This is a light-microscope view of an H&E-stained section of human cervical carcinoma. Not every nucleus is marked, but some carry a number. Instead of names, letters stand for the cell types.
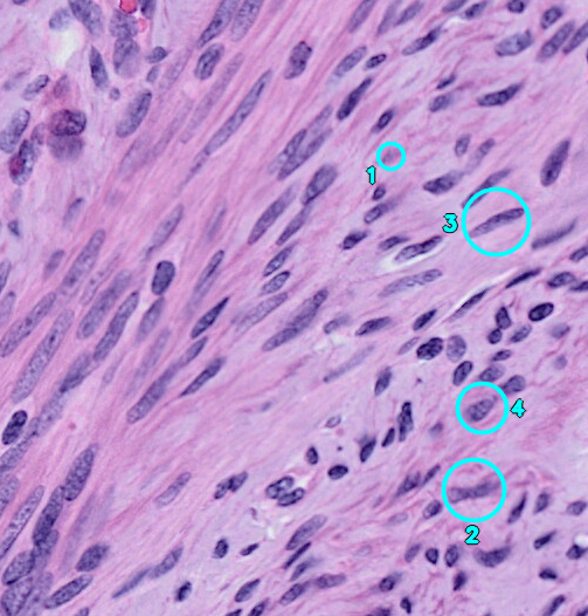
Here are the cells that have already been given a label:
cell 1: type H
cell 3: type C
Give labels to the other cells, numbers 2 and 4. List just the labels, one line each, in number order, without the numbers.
type H
type H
